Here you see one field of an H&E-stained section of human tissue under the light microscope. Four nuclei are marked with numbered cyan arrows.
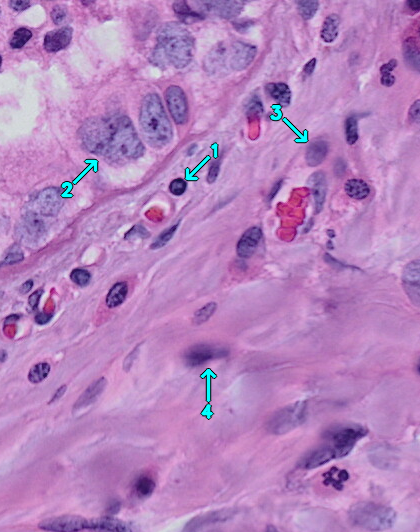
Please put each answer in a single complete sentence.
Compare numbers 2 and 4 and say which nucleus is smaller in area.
It is nucleus 4; nucleus 2 has about 2 times its area.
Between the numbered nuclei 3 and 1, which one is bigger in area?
Nucleus 3 is the larger one, covering about 2 times the area of nucleus 1.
